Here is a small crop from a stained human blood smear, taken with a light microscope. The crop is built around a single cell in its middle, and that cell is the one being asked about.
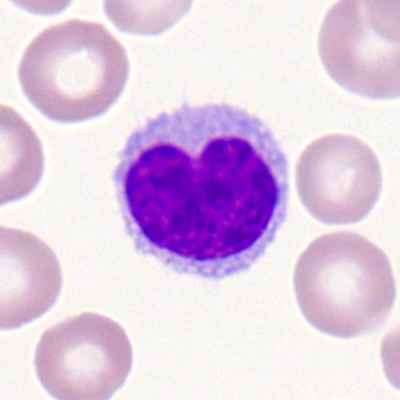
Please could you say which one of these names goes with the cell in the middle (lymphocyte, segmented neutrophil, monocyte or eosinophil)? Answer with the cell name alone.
lymphocyte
